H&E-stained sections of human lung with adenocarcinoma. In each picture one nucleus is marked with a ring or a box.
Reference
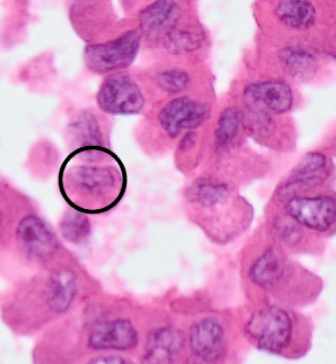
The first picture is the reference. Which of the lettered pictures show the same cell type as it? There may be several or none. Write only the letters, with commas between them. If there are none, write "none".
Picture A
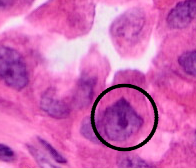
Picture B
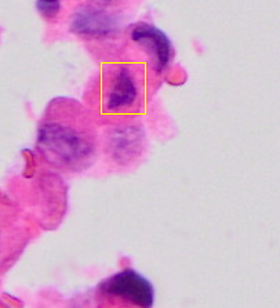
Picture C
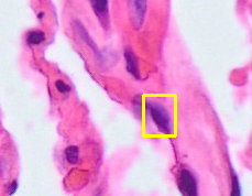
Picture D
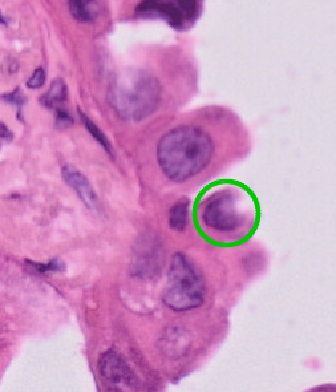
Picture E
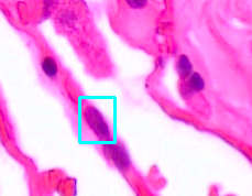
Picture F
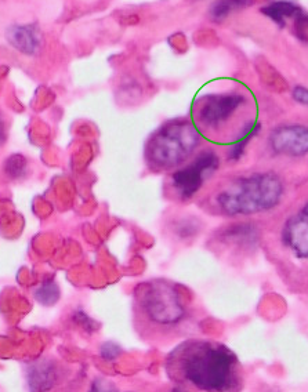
A, B, D, F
